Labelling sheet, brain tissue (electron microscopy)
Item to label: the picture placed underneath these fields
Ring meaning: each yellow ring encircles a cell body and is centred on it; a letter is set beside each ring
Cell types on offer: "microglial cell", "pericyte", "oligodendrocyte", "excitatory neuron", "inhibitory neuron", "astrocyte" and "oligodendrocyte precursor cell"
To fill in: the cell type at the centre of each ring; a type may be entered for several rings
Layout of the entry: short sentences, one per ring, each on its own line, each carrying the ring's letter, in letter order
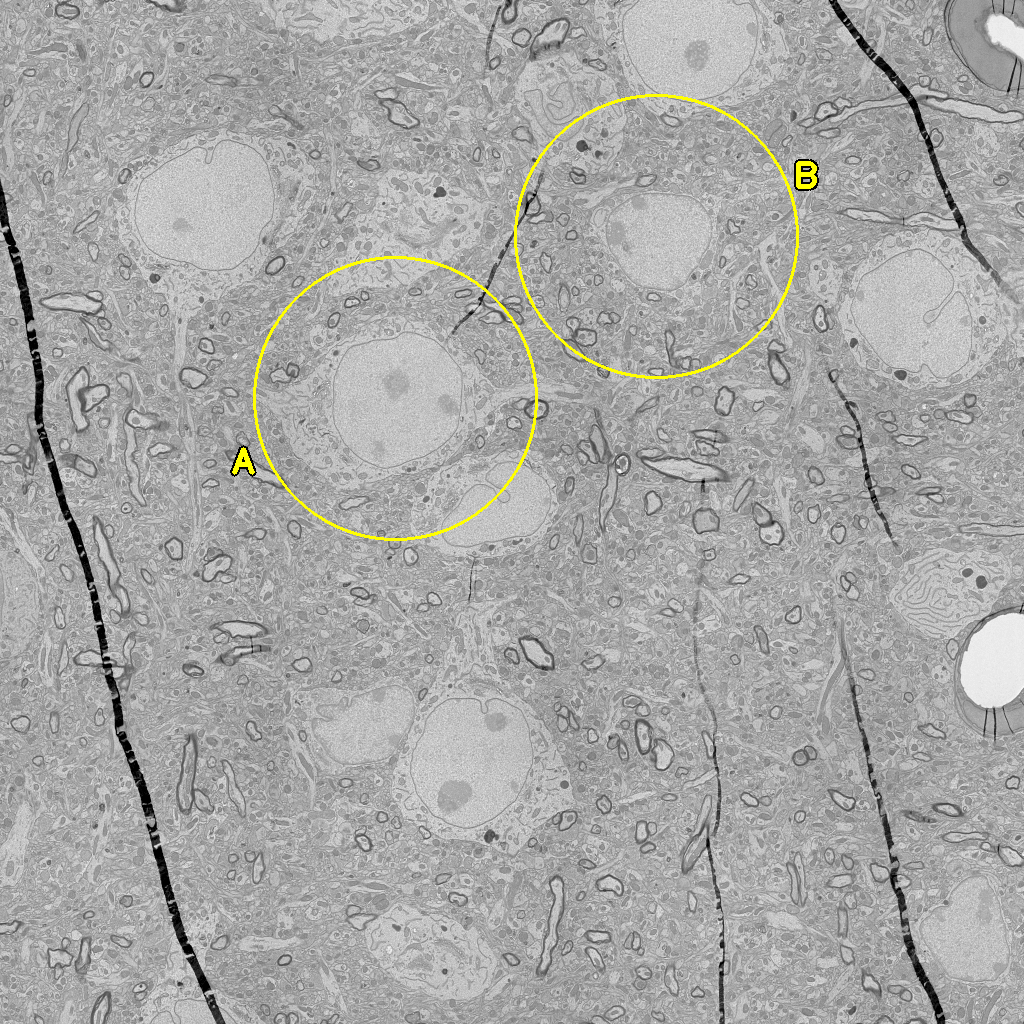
Ring A encircles the body of an excitatory neuron.
Ring B encircles the body of an astrocyte.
